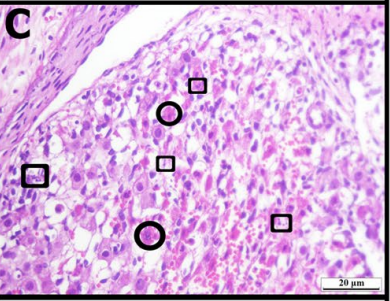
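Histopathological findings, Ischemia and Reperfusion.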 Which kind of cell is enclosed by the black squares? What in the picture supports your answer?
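The boxed cells are small among larger polygonal cells. They have condensed, dark-staining content. The answer: Apoptotic cell.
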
